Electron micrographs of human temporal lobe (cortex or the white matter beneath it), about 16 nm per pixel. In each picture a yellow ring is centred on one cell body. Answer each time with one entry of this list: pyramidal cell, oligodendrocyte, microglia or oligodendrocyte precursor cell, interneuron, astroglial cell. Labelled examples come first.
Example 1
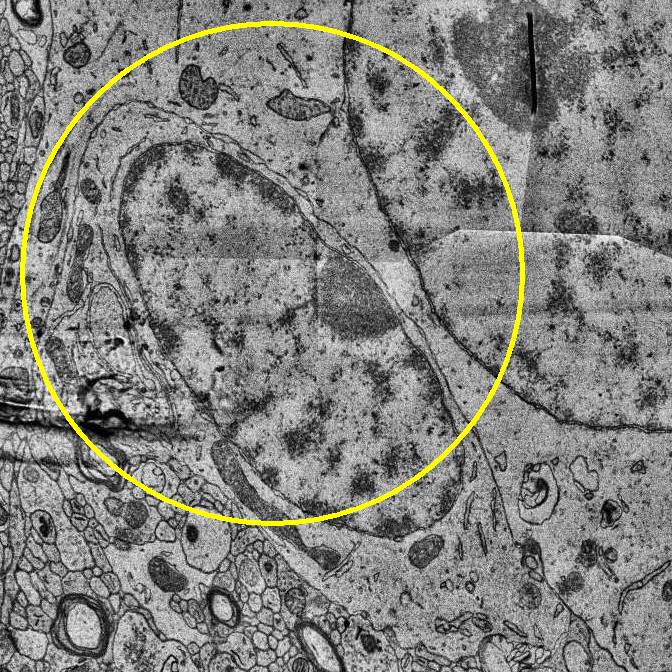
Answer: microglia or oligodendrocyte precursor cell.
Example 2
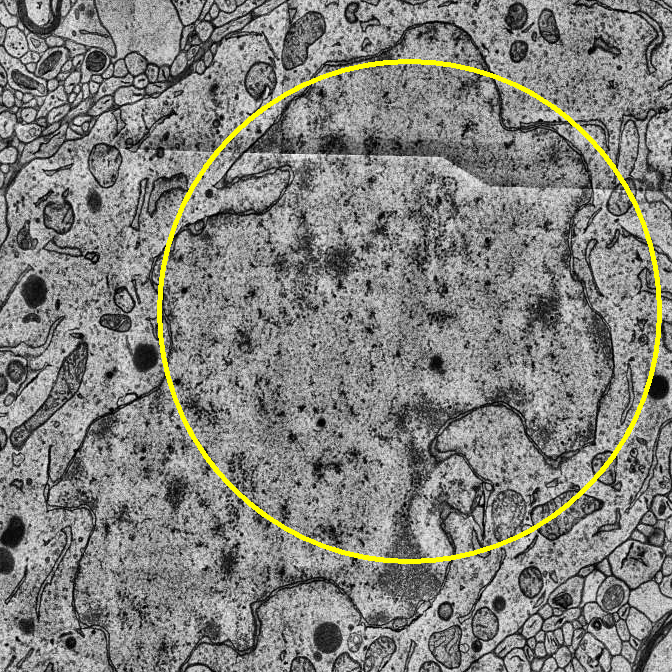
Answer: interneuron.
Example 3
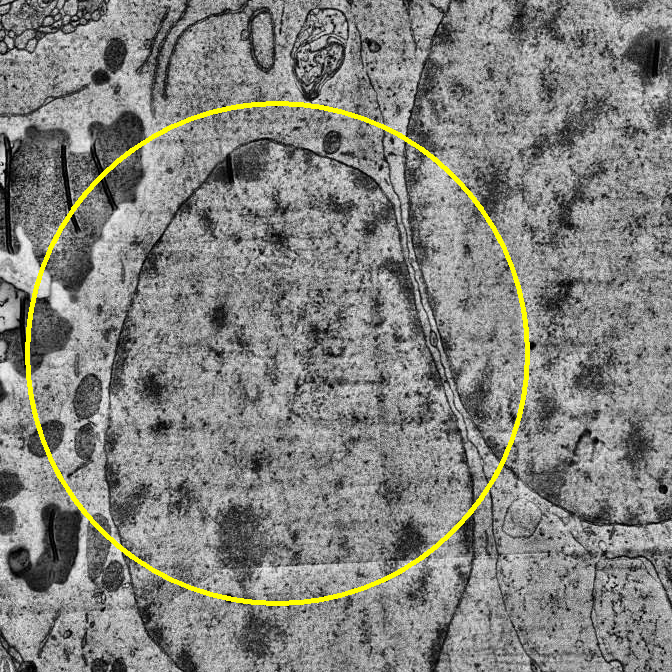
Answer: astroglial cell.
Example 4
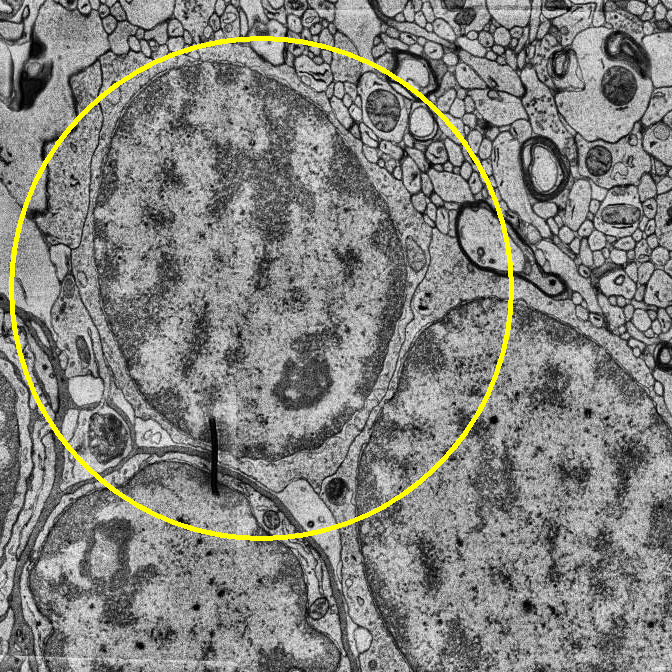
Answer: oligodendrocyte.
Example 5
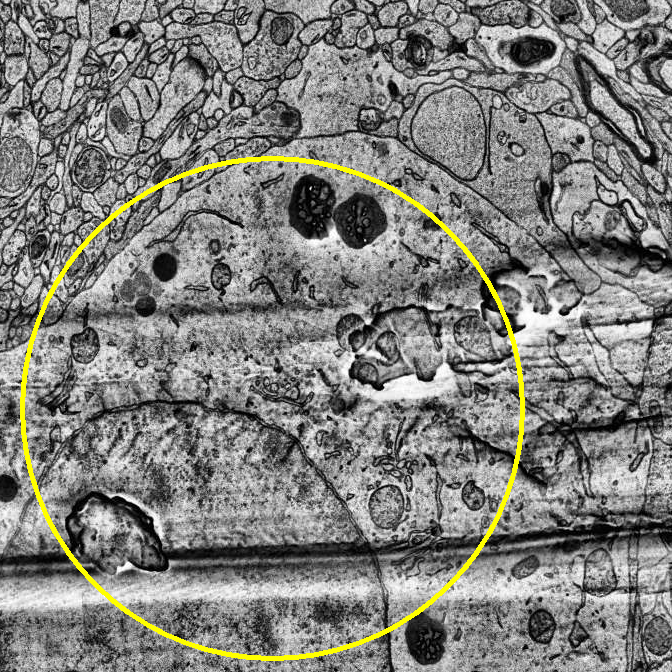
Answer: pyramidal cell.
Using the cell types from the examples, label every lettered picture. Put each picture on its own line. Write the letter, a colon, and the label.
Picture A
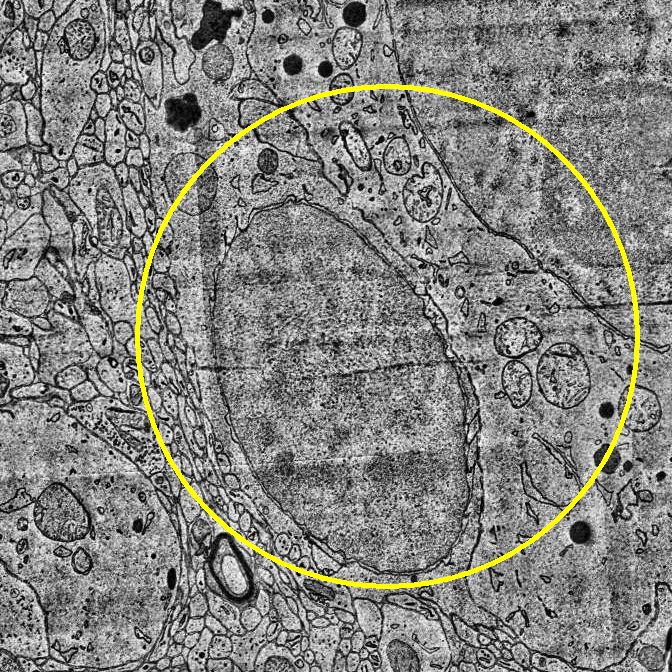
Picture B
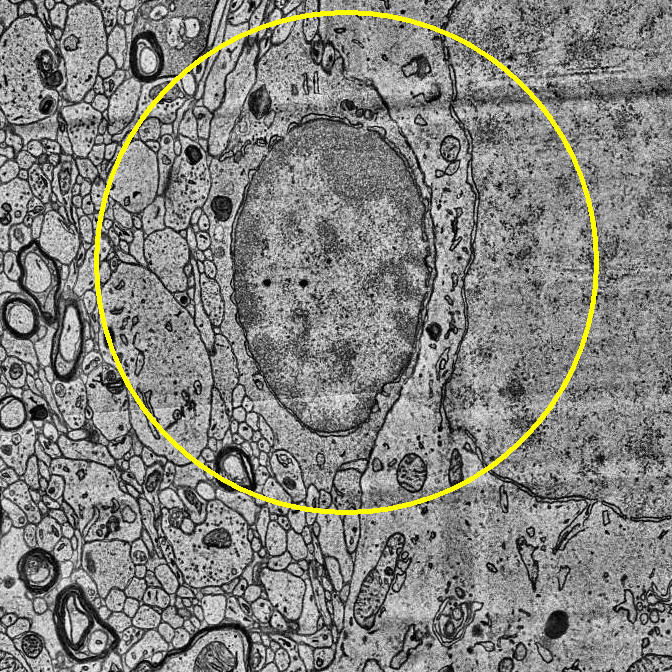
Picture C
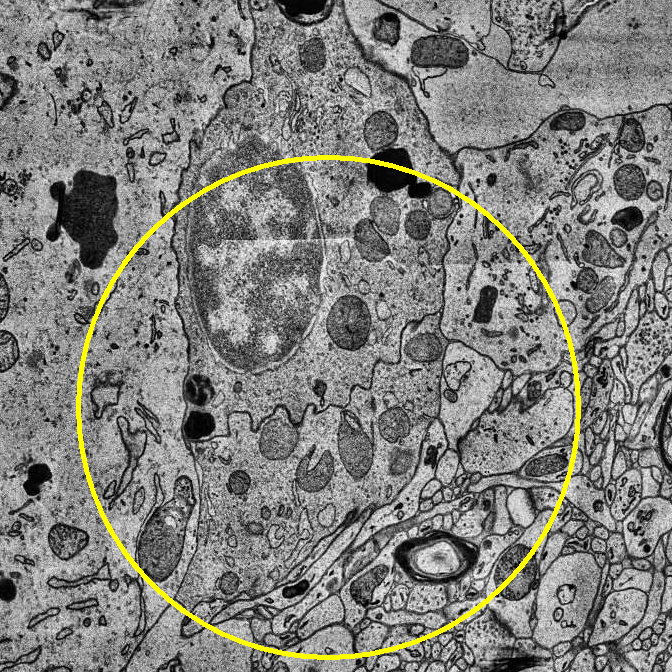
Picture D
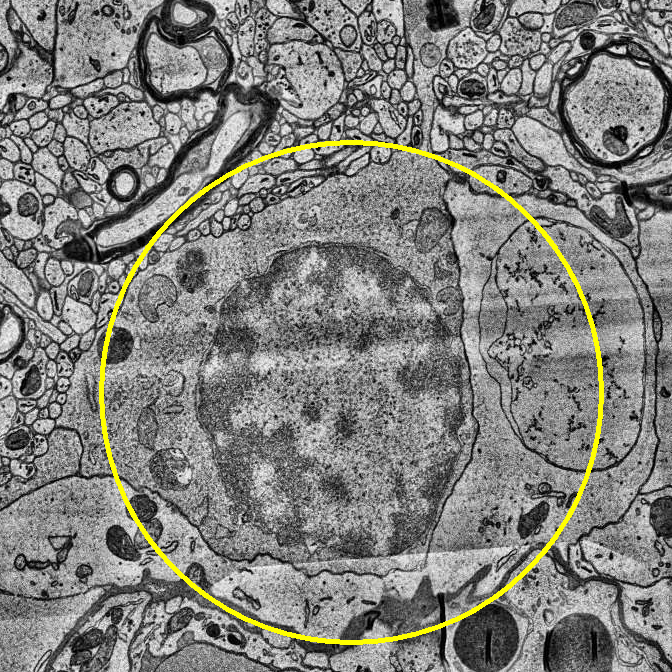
A: oligodendrocyte.
B: oligodendrocyte.
C: oligodendrocyte.
D: oligodendrocyte.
